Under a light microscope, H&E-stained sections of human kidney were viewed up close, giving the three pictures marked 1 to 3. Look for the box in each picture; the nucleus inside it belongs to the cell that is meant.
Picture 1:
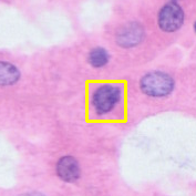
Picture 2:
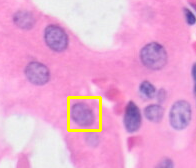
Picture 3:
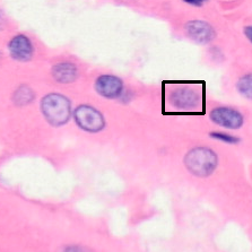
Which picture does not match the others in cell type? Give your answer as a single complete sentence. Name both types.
The others show proximal tubule cells, but picture 3 shows a “loop of Henle or distal tubule cell”.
